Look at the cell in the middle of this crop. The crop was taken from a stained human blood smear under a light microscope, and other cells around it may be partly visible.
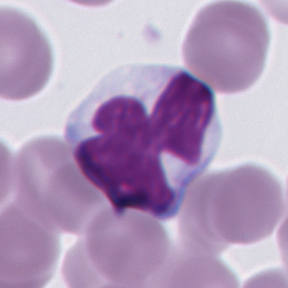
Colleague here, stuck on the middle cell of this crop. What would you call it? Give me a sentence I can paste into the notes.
The center cell of this crop is a large granular lymphocyte.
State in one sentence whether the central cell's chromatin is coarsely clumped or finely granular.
Coarse clumps are absent, and the chromatin is fine throughout.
